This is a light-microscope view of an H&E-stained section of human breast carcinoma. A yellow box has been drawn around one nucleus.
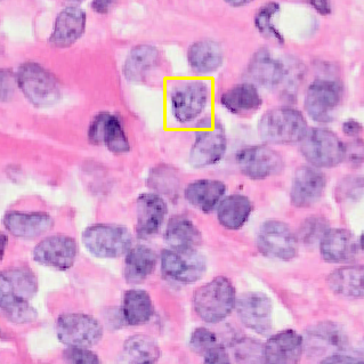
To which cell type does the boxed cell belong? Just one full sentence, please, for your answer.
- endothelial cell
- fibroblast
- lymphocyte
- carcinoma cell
Microscopically, the boxed cell is categorized as a carcinoma cell.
